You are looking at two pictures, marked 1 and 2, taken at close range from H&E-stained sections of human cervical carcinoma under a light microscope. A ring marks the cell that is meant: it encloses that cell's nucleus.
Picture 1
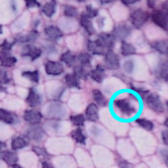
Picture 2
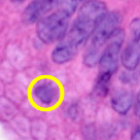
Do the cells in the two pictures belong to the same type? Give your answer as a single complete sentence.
Yes, the two pictures both show secretory epithelial cells.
